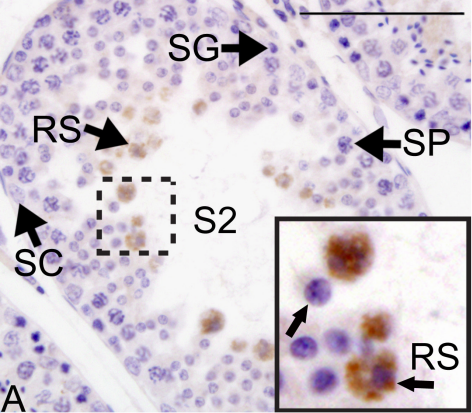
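Seminiferous tubule with spermatogonia along the basal wall, Sertoli cells, larger spermatocytes with granular blue nuclei further in, and round spermatids toward the lumen. Groups of round spermatids near the lumen carry dense brown cytoplasm around round blue nuclei, while most other cells show blue nuclei only. The lumen is open and no elongated heads are seen.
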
